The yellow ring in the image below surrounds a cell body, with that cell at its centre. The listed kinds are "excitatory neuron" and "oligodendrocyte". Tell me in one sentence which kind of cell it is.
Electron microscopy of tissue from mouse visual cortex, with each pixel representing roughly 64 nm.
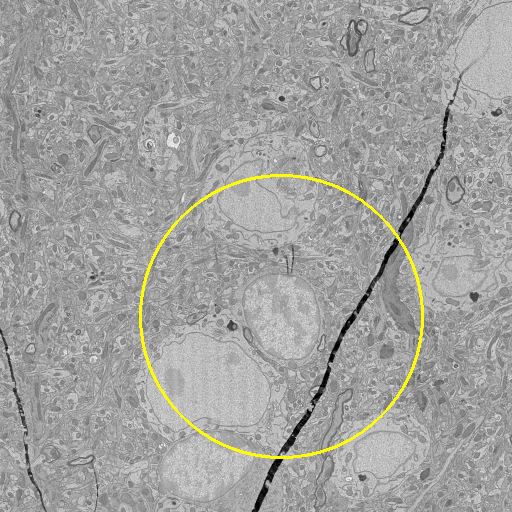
The centre of the ring holds an oligodendrocyte.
